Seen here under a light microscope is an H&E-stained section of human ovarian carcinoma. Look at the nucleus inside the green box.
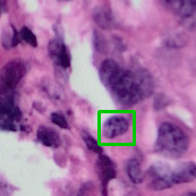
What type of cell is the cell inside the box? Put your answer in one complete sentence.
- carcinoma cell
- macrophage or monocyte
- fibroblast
In cellular terms, the cell inside the box is a macrophage or monocyte.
